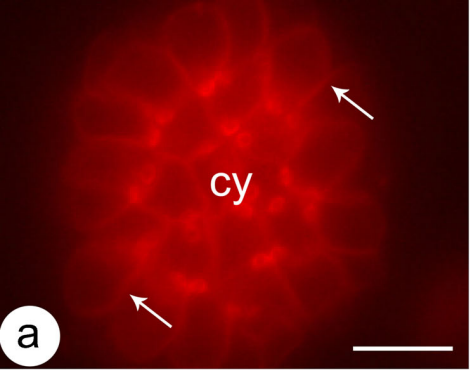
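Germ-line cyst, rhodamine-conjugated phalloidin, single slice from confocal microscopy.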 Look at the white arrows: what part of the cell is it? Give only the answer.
Cortical F-actin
